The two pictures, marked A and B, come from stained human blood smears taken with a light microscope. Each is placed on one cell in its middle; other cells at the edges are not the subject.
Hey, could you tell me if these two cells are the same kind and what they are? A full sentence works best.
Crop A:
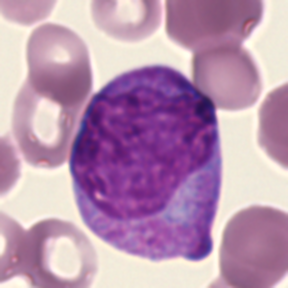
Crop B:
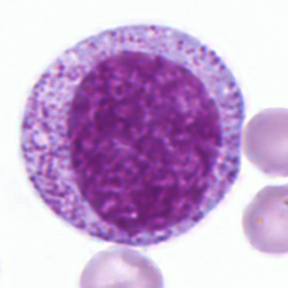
No, an atypical promyelocyte is depicted by crop A, a myelocyte by crop B.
